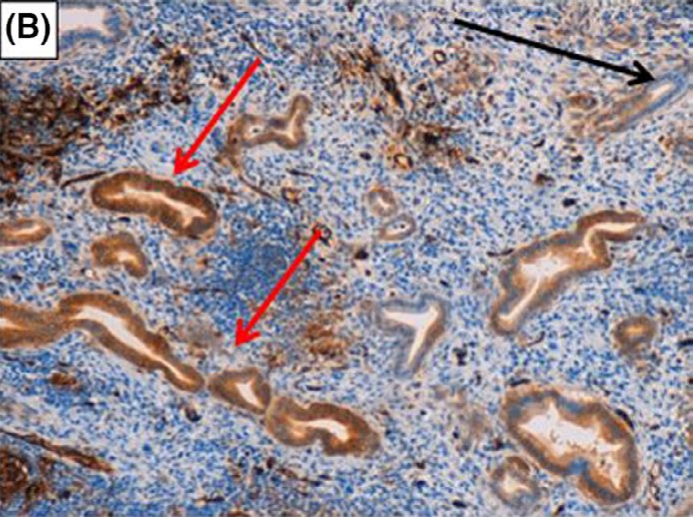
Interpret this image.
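Irregular glands infiltrate a cellular stroma. The glands are elongated, branching and angulated, each lined by a single layer of columnar epithelial cells around an open lumen. Most of these linings show strong brown staining of the cytoplasm. A few glands are paler, with weak brown staining. Between the glands, the stroma is densely packed with small cells with blue nuclei, crowded most tightly in the centre. Scattered brown-stained cells lie in the stroma, and larger brown patches occupy the upper left.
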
